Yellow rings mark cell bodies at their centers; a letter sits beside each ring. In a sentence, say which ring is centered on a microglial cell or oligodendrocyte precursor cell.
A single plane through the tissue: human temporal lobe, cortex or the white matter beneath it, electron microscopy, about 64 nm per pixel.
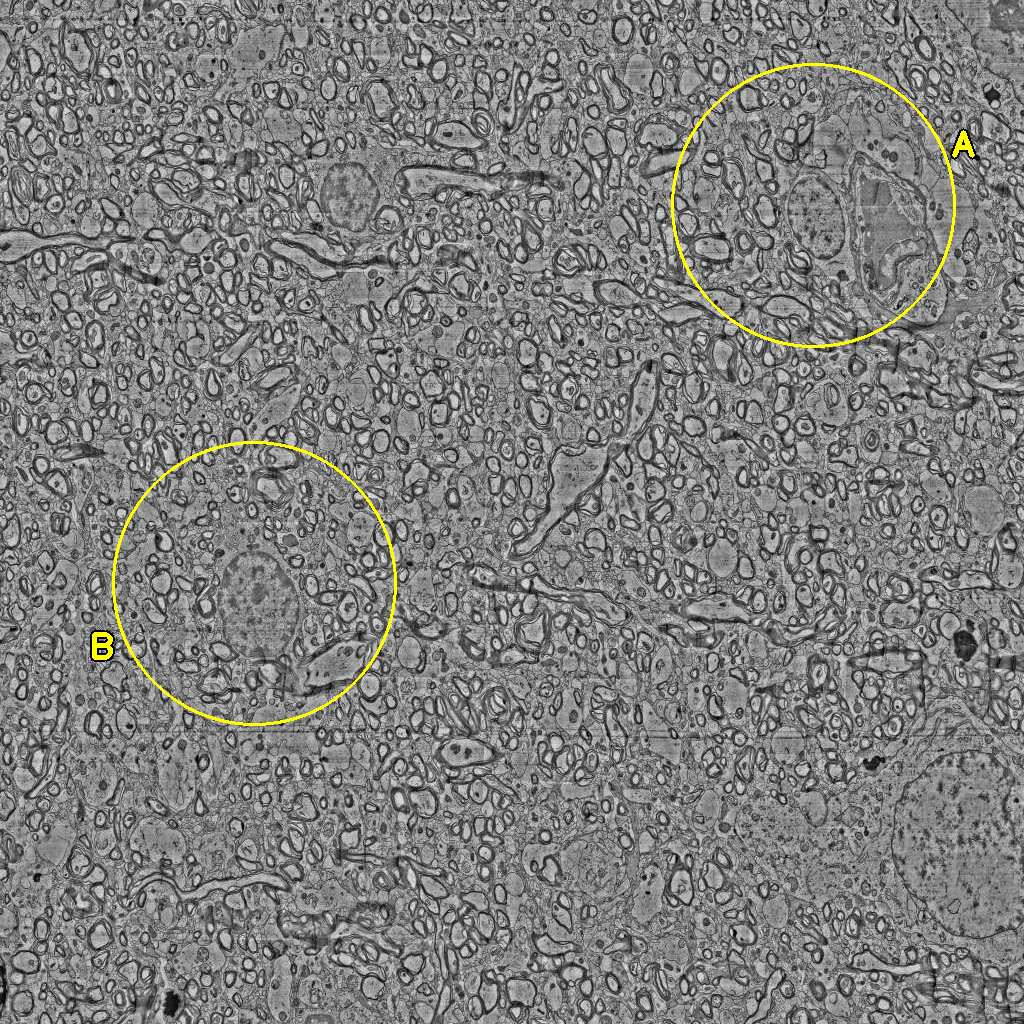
It is ring A.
